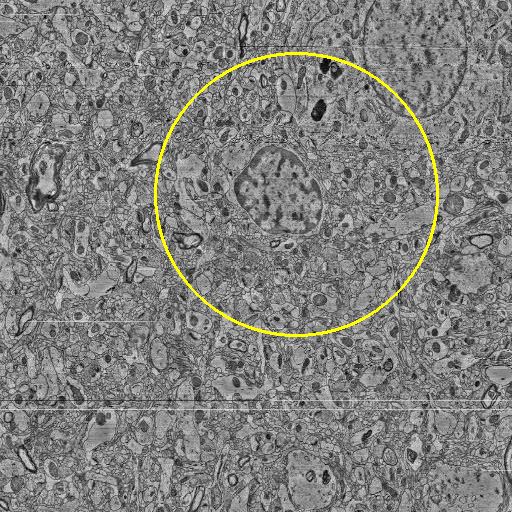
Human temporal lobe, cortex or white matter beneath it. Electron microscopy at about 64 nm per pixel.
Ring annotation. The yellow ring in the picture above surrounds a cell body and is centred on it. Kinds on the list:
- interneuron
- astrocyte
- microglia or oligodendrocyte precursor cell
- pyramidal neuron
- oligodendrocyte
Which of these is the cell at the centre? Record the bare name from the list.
microglia or oligodendrocyte precursor cell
